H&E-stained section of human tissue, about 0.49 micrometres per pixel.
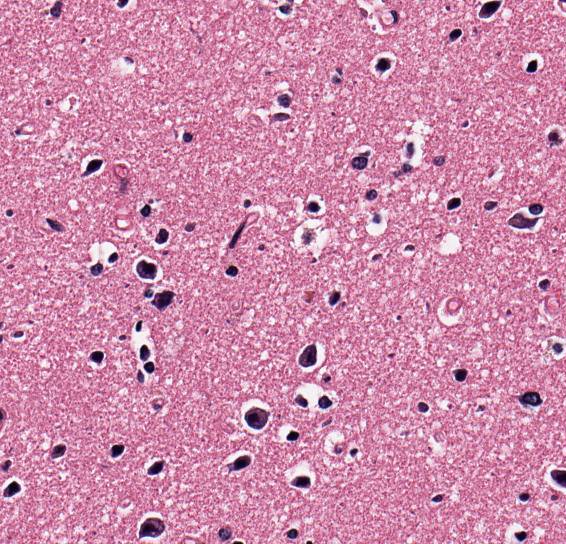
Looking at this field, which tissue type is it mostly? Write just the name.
cerebral cortex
